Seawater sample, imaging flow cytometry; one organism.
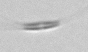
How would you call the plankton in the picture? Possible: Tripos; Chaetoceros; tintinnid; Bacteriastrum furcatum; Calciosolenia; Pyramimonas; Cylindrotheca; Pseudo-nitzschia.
I would call it Cylindrotheca.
